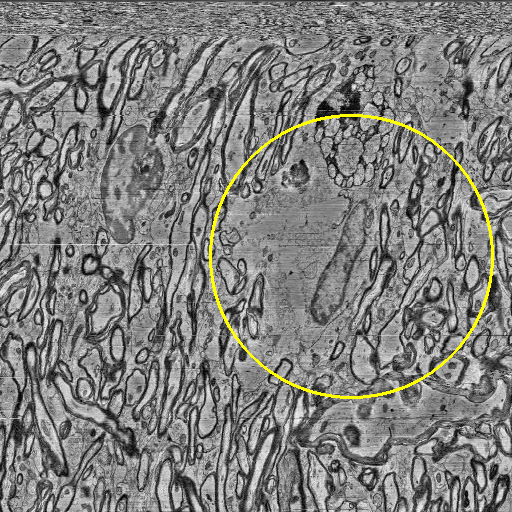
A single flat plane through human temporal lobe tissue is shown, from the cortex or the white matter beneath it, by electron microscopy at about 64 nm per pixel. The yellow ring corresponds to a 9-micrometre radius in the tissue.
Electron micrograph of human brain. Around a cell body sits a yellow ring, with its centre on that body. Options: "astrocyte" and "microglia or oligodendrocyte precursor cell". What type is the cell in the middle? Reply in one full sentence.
The cell sitting at the centre of the yellow ring is an astrocyte.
